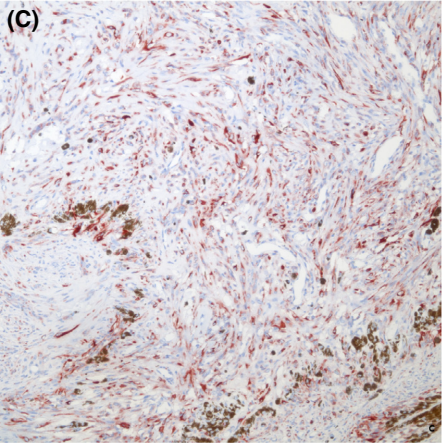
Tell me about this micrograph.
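Loosely arranged spindle and stellate tumor cells run in haphazard, crossing directions, many with strongly red-stained slender cytoplasmic processes, while others stay pale with only blue nuclei. Slit-like and small round empty spaces lie between the cells. Clusters of round cells filled with dark brown pigment sit at the left middle and lower right edges. At the lower left a denser area of paler, more compact spindle cells borders the looser red-stained region.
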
